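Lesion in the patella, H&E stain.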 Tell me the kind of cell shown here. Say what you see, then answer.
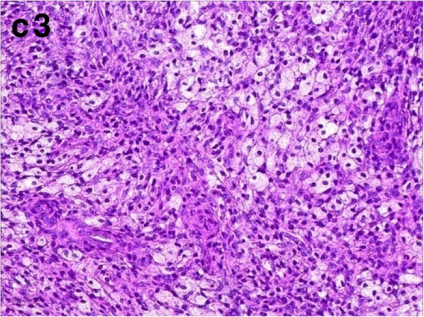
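Clusters of cells with abundant pale, clear, bubbly cytoplasm. Their small nuclei sit among densely packed smaller cells with little cytoplasm.
Answer: foam cells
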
